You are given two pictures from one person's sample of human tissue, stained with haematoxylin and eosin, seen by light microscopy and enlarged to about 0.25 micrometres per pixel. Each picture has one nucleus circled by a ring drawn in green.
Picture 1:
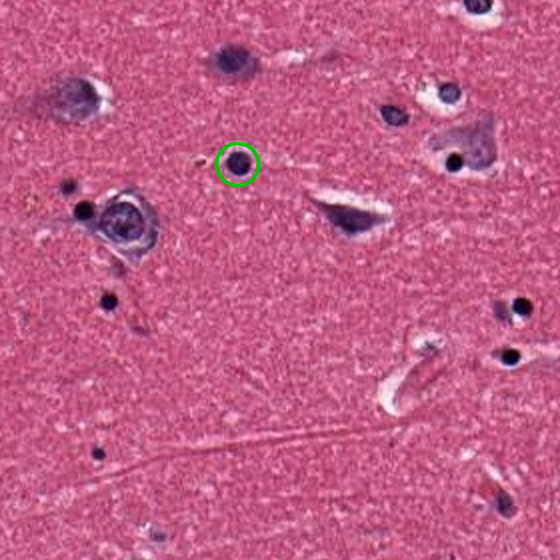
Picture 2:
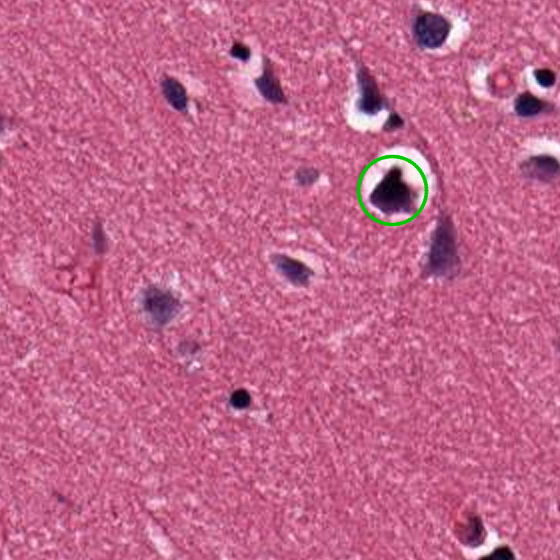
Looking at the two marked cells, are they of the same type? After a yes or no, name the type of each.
No, the first is an oligodendrocyte and the second a neuron.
